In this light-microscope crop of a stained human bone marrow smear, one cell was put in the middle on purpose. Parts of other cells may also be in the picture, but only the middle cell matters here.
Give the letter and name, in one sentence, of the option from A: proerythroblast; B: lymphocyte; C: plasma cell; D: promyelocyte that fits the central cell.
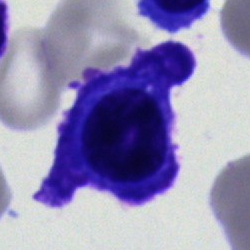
The expected answer is option C, the central cell being a plasma cell.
